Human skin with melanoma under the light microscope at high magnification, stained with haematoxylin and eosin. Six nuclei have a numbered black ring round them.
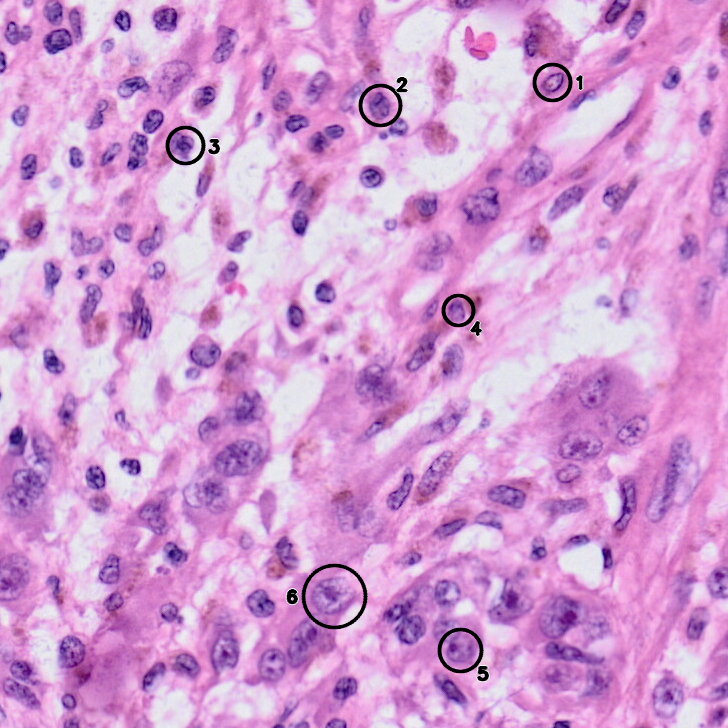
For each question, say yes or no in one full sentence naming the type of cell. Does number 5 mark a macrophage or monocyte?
No, number 5 belongs to a melanoma cell, not to a macrophage or monocyte.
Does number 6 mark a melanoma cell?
Yes, the cell with its nucleus marked 6 is a melanoma cell.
